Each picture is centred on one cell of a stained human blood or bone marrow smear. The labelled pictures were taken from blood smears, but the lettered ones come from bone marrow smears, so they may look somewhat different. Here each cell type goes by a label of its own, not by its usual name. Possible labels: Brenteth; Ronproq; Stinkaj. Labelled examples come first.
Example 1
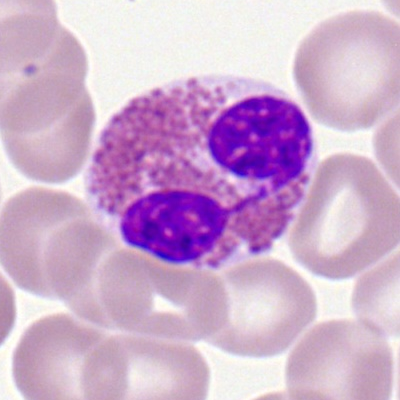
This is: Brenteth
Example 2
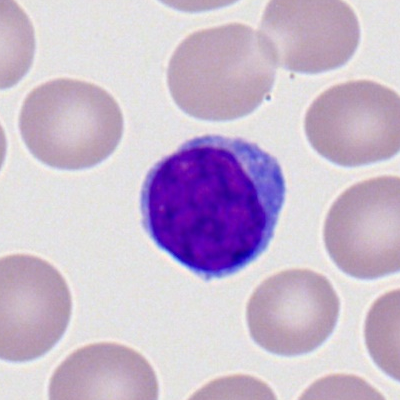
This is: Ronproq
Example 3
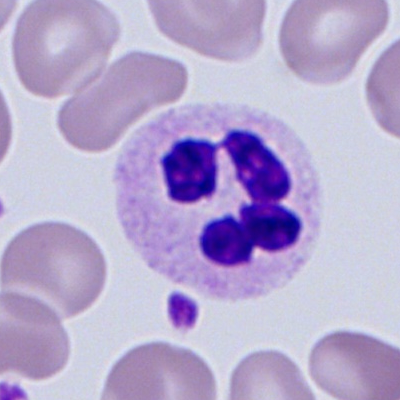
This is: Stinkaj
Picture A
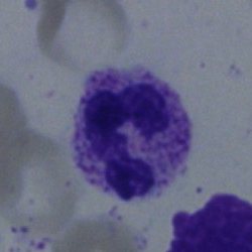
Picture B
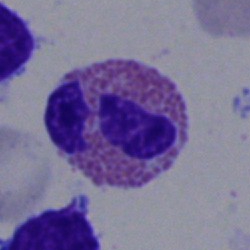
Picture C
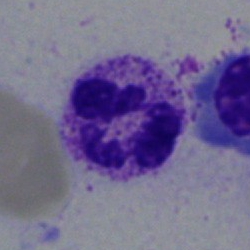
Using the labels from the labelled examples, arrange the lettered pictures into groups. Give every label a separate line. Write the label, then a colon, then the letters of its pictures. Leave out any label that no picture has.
Brenteth: B
Stinkaj: A, C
